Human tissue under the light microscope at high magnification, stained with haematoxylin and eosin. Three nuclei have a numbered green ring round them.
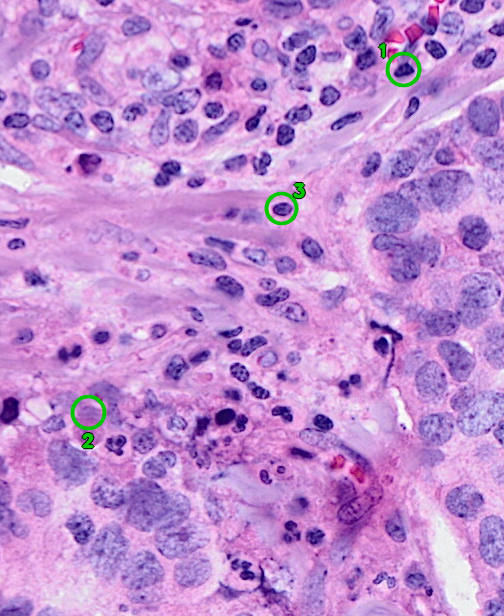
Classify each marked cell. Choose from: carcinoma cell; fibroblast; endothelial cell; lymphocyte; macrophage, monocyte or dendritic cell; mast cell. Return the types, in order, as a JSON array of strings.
["lymphocyte", "endothelial cell", "lymphocyte"]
